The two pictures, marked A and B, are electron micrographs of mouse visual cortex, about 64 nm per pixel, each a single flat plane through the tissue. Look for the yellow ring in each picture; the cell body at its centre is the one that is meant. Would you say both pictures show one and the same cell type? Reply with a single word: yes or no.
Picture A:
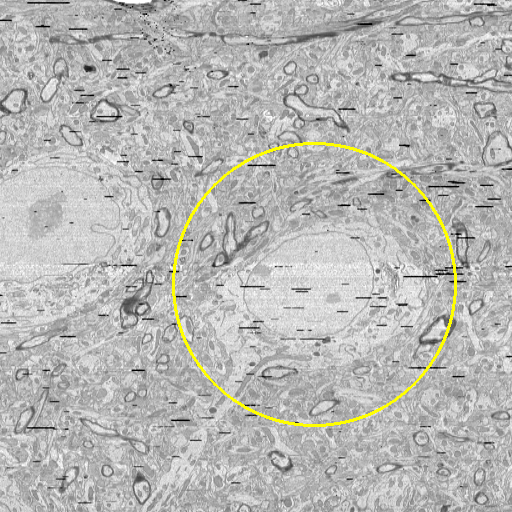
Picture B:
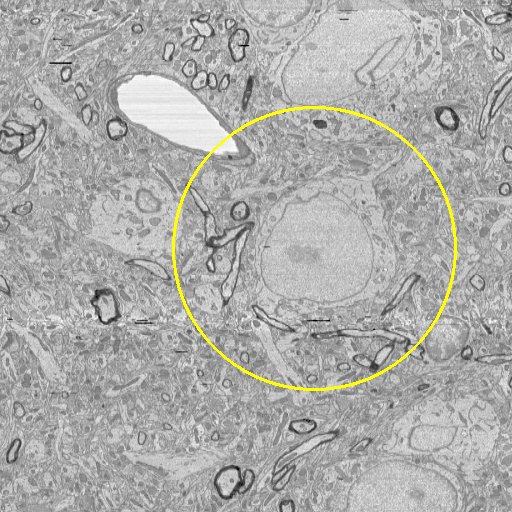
yes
